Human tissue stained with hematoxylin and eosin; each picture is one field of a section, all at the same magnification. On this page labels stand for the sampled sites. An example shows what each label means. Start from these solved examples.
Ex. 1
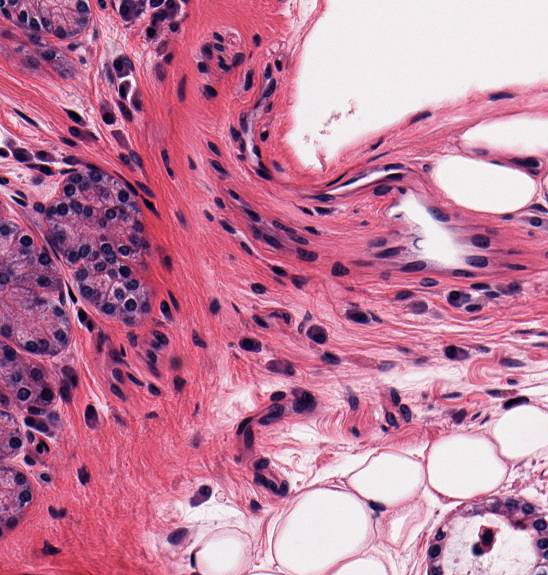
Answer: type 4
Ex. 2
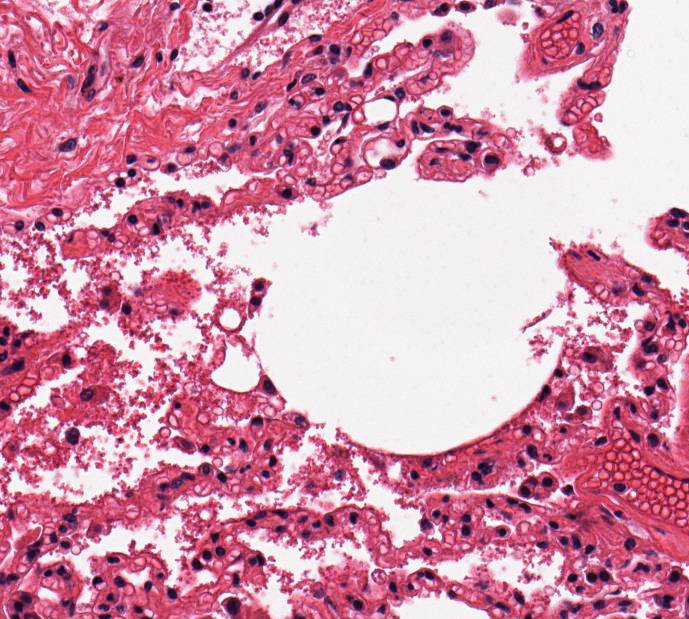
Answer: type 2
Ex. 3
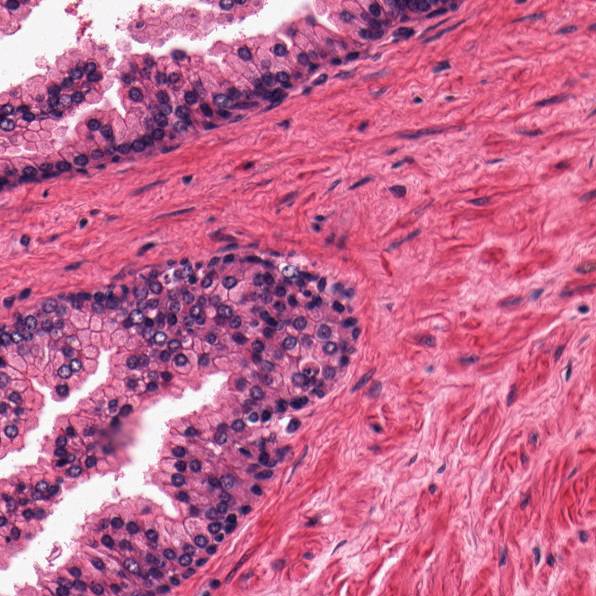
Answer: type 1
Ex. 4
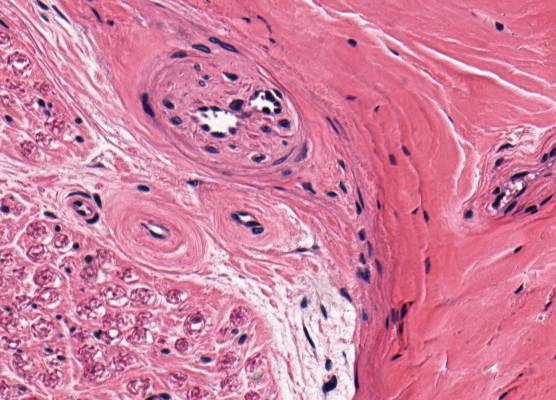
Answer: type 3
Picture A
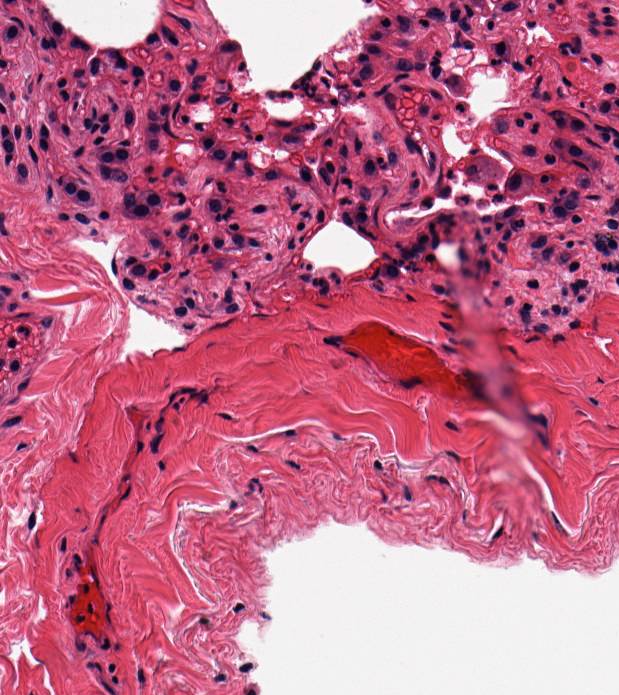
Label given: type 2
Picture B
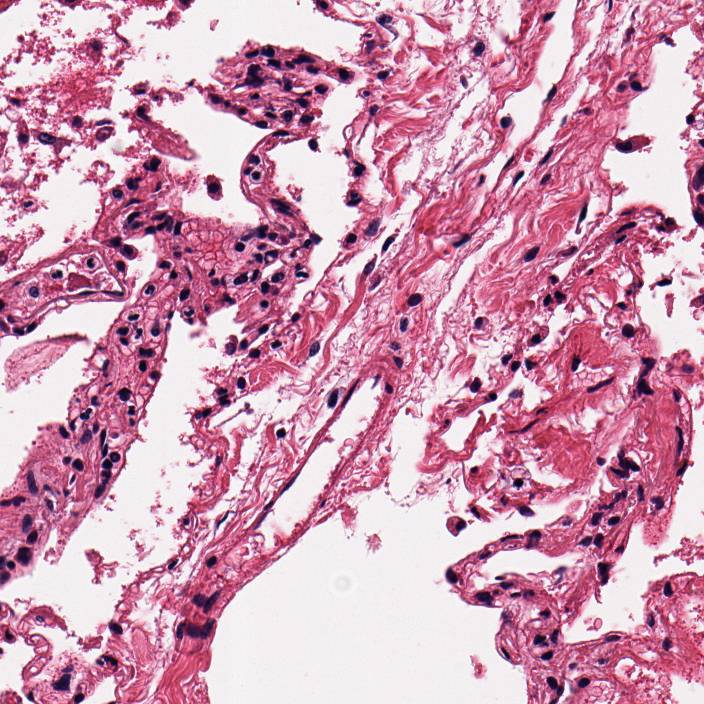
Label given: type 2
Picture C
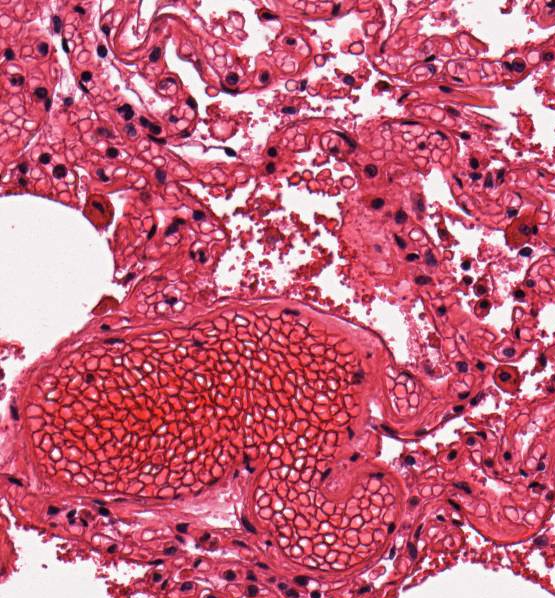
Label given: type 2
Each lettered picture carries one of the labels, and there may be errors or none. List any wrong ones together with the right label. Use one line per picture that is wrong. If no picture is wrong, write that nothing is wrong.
All correct.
